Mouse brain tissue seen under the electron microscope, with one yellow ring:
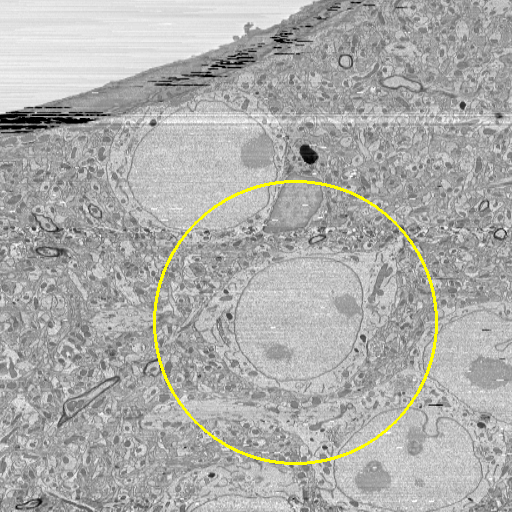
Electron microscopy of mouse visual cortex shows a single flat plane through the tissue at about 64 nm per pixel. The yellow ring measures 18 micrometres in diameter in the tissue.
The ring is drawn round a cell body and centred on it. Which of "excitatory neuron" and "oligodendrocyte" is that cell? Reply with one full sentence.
The picture shows an excitatory neuron at the very centre of the yellow ring.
